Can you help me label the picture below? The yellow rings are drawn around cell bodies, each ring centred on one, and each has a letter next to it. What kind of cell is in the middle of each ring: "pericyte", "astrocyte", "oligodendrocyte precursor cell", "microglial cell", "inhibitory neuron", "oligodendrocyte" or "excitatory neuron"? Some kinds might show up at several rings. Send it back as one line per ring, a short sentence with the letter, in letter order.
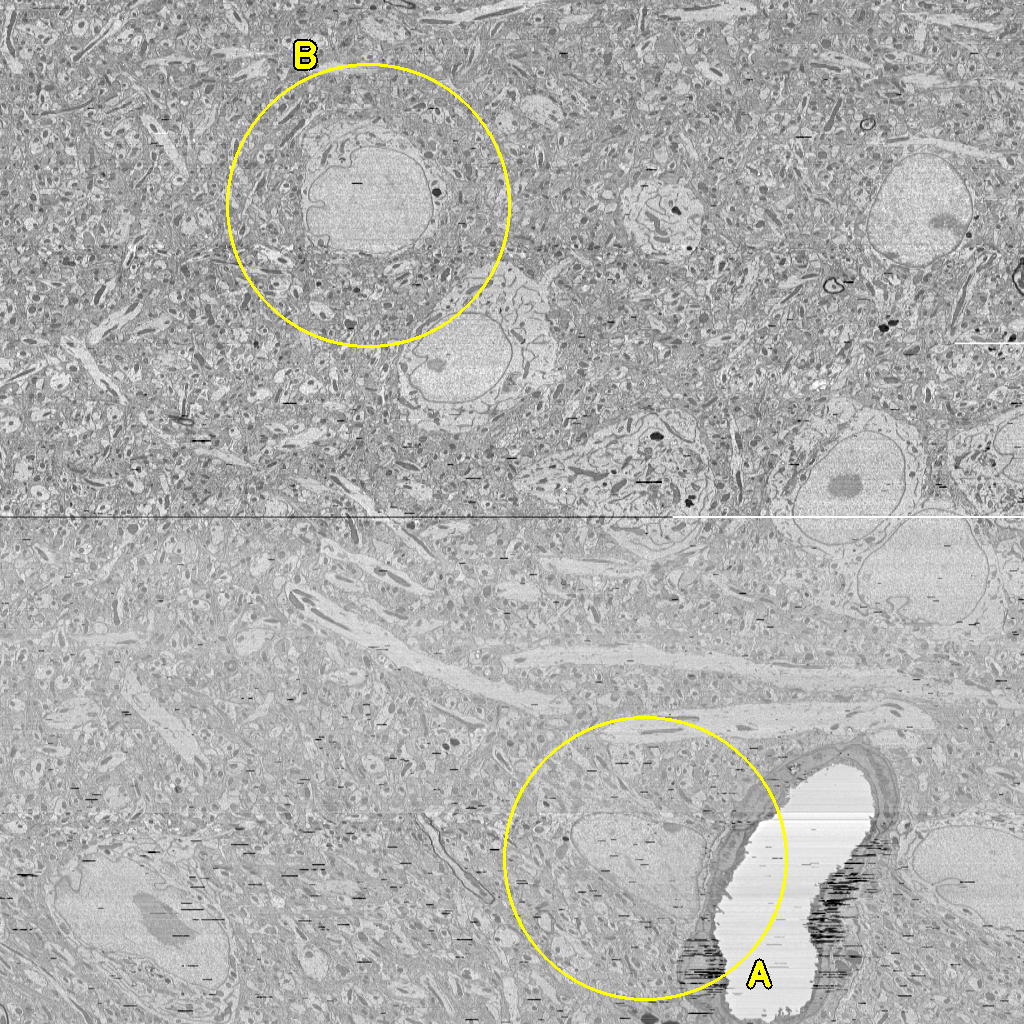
Ring A has an astrocyte in the middle.
Ring B has an excitatory neuron in the middle.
